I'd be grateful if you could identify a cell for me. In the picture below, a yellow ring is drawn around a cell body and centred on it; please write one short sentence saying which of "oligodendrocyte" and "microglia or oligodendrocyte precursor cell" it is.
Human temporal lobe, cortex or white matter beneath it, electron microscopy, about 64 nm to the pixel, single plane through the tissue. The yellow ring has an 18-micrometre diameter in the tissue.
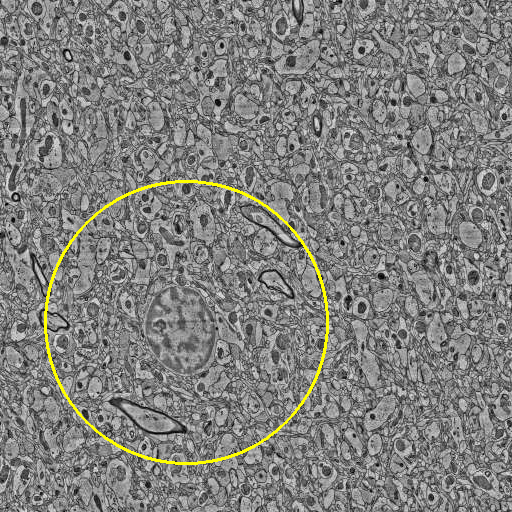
The cell under the ring's centre is an oligodendrocyte.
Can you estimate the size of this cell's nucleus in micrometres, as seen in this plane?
In this plane the nucleus is about 5 micrometres by 4.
